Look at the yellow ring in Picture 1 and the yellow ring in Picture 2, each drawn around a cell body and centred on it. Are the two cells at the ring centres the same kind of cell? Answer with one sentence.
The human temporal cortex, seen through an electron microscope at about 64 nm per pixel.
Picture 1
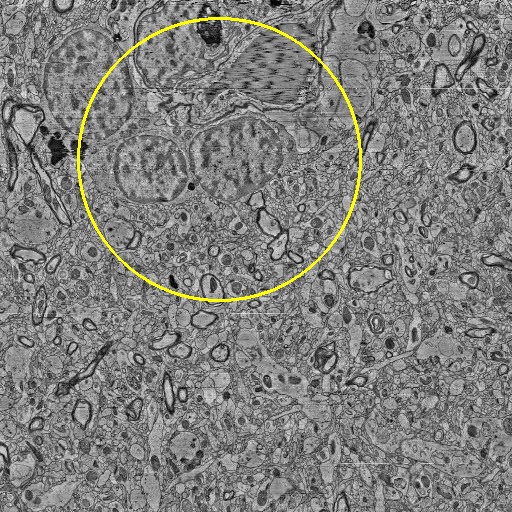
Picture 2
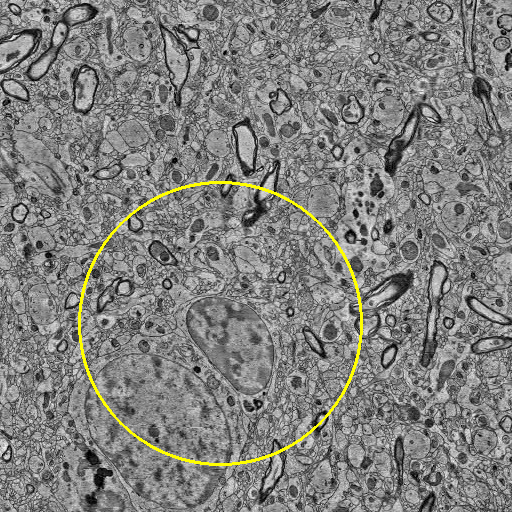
No, they are cells of two kinds.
